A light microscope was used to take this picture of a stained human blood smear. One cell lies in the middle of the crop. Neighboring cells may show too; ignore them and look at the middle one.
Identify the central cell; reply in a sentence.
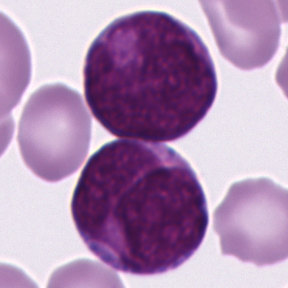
The cell nearest the centre of this crop is a blast.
